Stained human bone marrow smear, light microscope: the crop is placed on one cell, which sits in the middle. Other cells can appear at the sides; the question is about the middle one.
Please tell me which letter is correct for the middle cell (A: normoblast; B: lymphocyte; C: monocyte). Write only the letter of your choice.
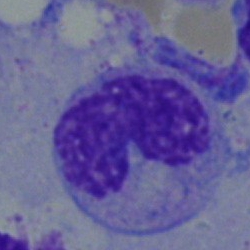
C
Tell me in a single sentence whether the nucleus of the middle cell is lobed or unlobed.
In this cell the nucleus is a solitary compact mass, round, oval or kidney-shaped.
